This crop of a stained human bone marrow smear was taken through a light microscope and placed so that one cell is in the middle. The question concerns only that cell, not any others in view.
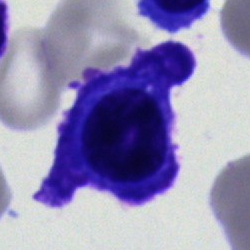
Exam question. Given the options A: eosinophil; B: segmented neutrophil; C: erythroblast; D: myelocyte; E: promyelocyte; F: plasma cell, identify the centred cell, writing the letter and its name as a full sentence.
Option F is to be chosen, as the central cell is a plasma cell.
